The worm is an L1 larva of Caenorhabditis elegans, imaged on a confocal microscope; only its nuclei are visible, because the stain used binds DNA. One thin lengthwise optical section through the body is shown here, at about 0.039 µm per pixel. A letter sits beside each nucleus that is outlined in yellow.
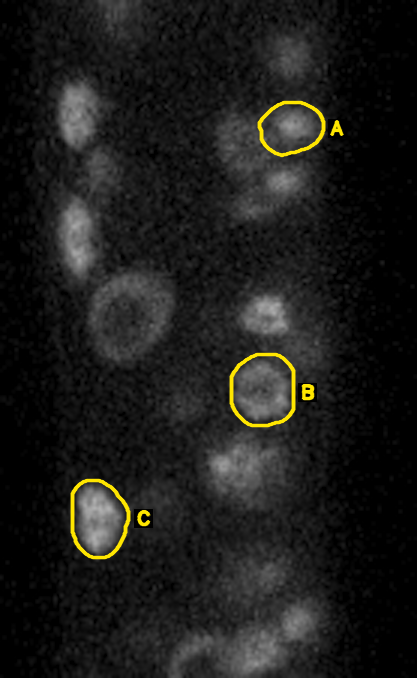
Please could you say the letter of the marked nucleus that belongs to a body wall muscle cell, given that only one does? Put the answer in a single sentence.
Nucleus C belongs to a body wall muscle cell.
